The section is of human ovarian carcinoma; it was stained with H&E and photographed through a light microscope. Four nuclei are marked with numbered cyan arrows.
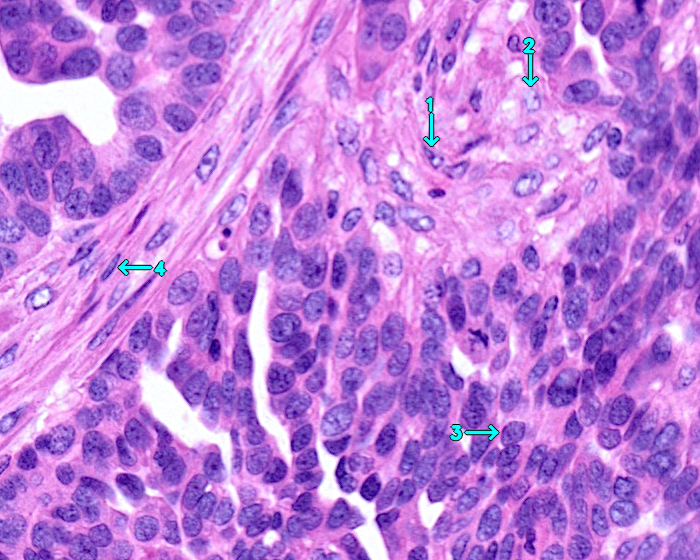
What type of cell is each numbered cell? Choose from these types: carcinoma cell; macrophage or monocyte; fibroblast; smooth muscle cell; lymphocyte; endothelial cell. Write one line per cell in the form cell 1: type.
cell 1: fibroblast
cell 2: fibroblast
cell 3: carcinoma cell
cell 4: fibroblast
